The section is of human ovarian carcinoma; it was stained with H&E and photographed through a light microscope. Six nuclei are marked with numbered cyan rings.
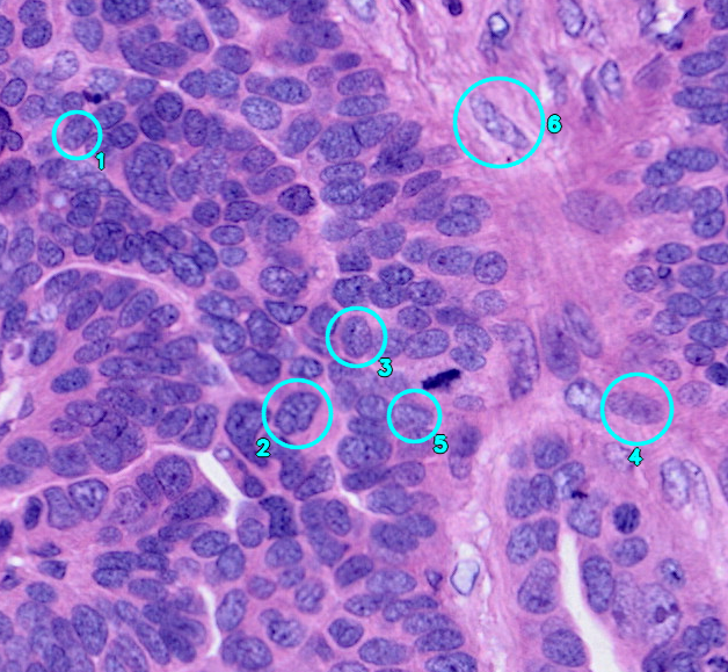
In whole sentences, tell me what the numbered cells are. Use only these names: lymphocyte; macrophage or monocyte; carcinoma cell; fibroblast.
Cells 1, 2, 3 and 5 are carcinoma cells. Cells 4 and 6 are fibroblasts.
